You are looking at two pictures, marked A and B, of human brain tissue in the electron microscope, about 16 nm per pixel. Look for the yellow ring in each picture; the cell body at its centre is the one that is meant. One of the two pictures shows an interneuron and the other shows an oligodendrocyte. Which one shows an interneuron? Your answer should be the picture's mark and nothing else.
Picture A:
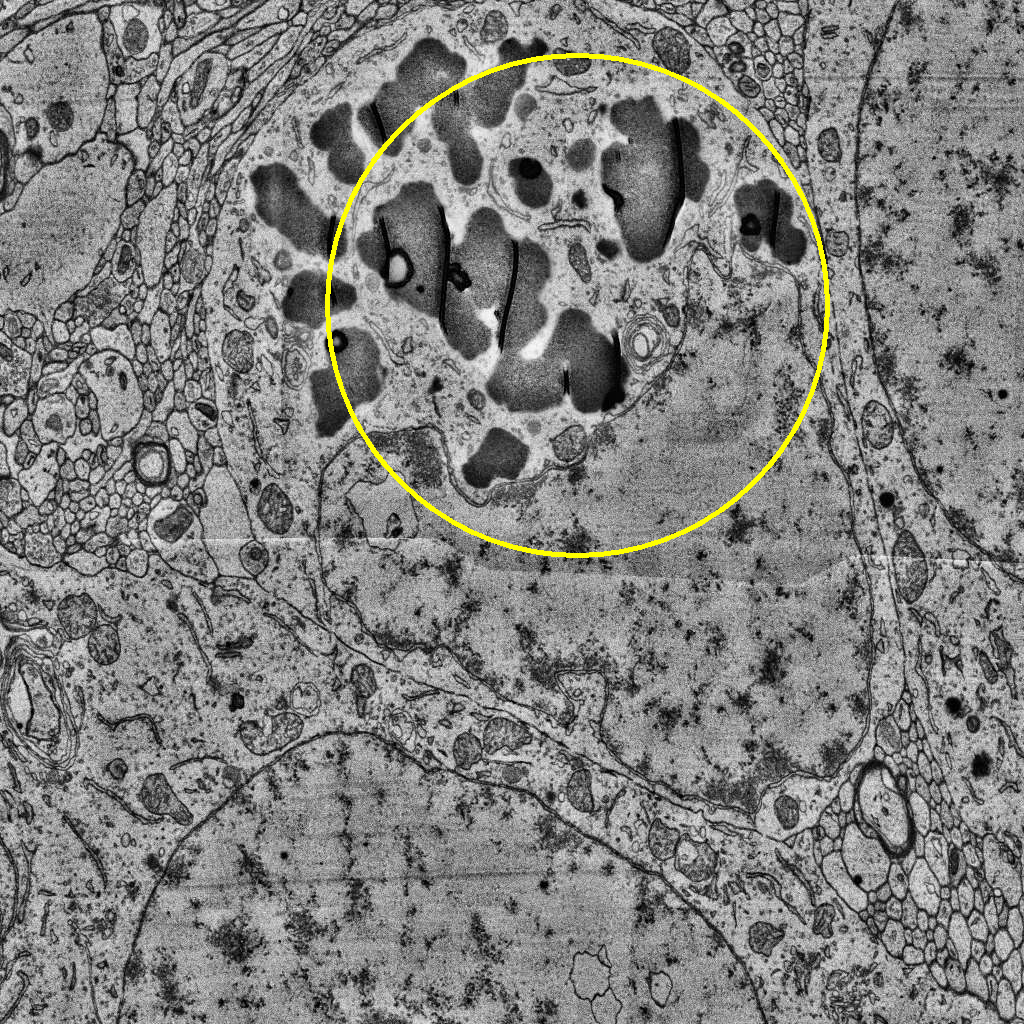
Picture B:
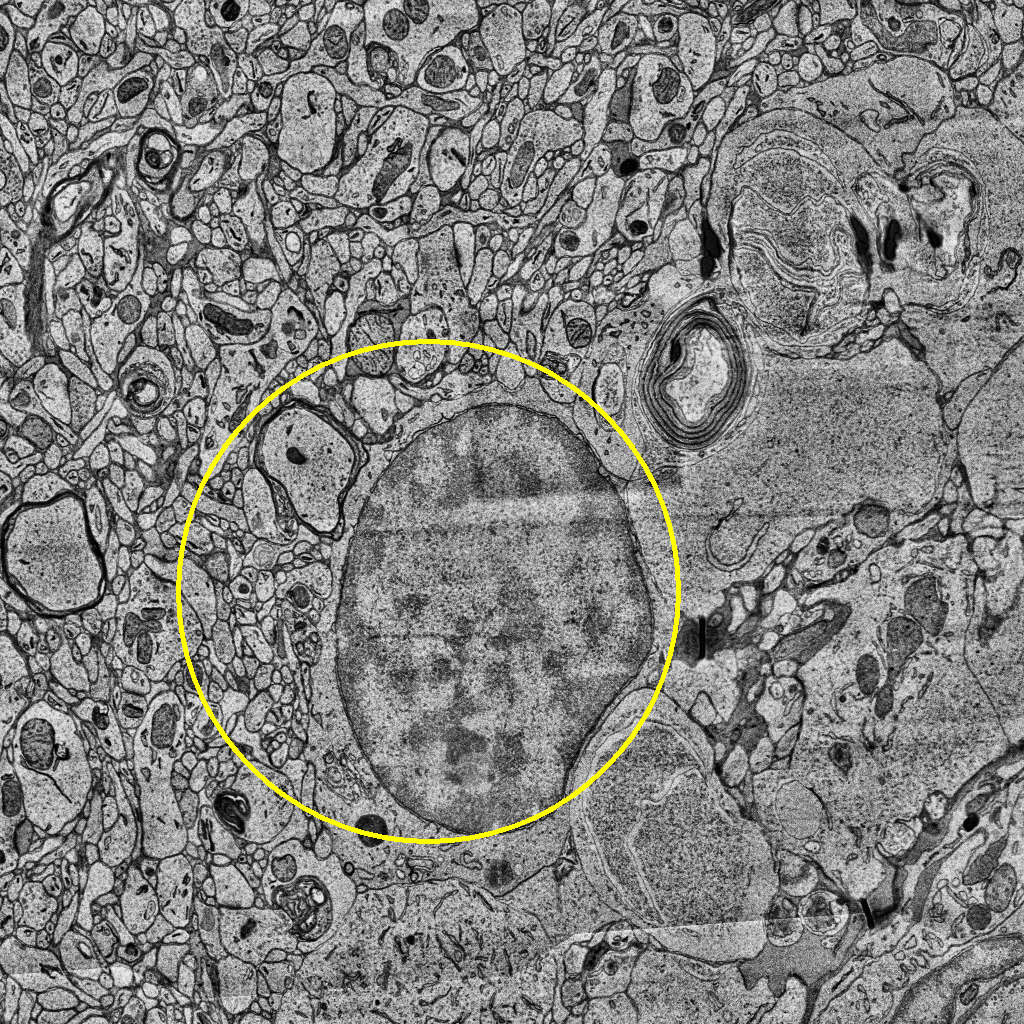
A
